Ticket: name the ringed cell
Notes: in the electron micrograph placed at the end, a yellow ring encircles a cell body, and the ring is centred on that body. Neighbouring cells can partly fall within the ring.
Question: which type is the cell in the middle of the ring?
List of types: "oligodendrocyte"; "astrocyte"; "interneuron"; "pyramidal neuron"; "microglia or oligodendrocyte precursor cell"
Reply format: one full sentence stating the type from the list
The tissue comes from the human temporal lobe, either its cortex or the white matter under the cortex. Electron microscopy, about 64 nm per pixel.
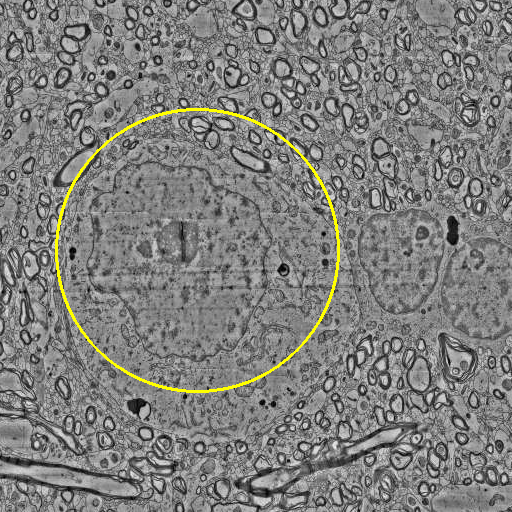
The cell sitting at the centre of the yellow ring is a pyramidal neuron.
